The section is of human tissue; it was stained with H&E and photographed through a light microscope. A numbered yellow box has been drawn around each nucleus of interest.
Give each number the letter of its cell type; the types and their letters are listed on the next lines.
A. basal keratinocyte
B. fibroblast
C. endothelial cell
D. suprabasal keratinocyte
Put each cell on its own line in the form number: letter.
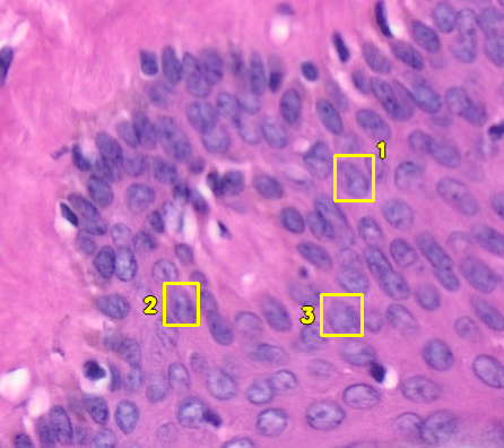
1: D
2: A
3: D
